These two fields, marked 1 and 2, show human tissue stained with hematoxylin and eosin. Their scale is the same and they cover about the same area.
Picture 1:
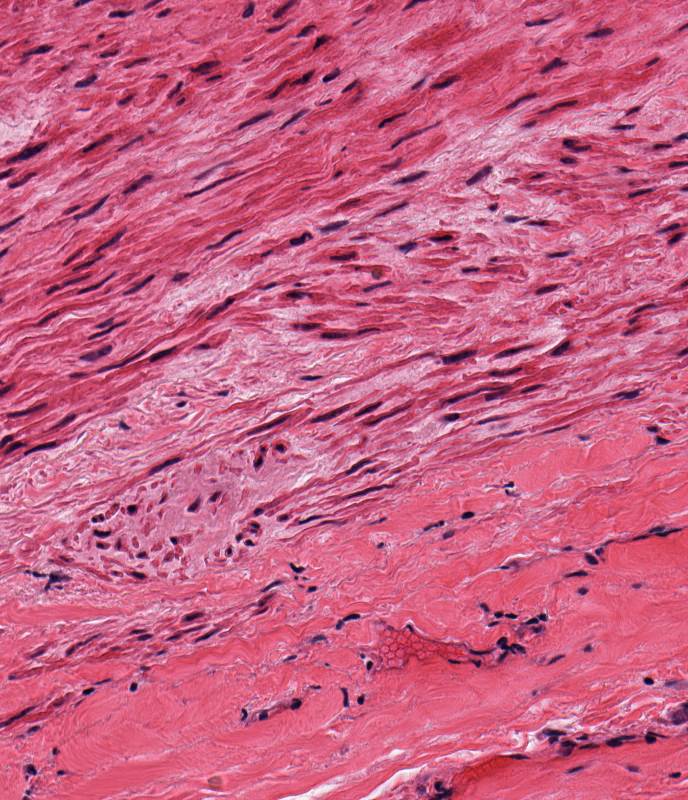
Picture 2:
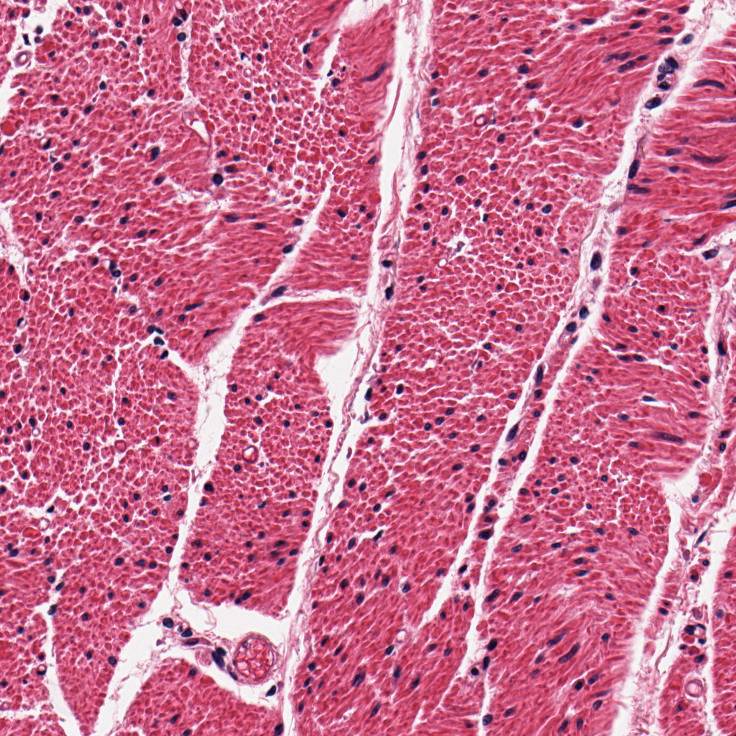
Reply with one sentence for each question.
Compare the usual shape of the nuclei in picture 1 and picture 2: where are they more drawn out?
It is picture 1 whose nuclei are the more elongated.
